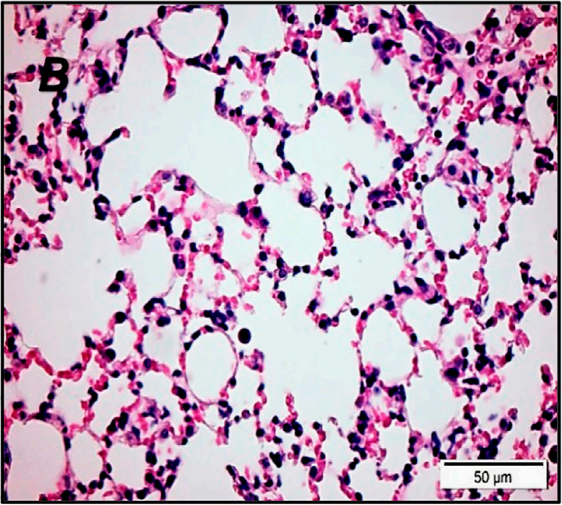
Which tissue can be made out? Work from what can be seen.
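Many thin-walled, empty, rounded air spaces separated by delicate septa. The septa are one to a few cells thick, with pink cytoplasm and dark nuclei. The tissue has a lace-like, open network pattern. So: lung tissues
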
